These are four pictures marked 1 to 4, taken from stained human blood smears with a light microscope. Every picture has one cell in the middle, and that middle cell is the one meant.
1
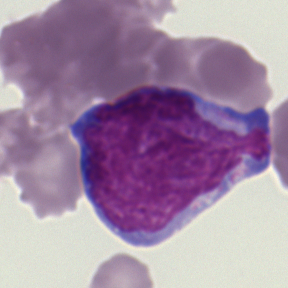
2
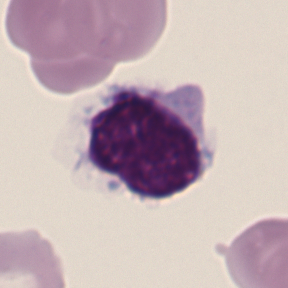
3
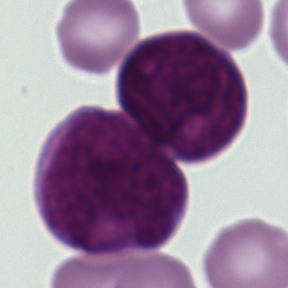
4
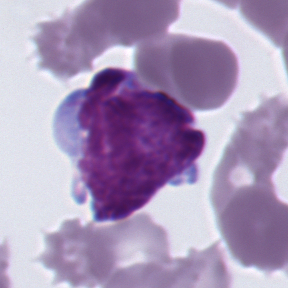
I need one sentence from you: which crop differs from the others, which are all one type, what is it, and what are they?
Every crop but one shows blasts; the exception, crop 2, shows a hairy cell.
